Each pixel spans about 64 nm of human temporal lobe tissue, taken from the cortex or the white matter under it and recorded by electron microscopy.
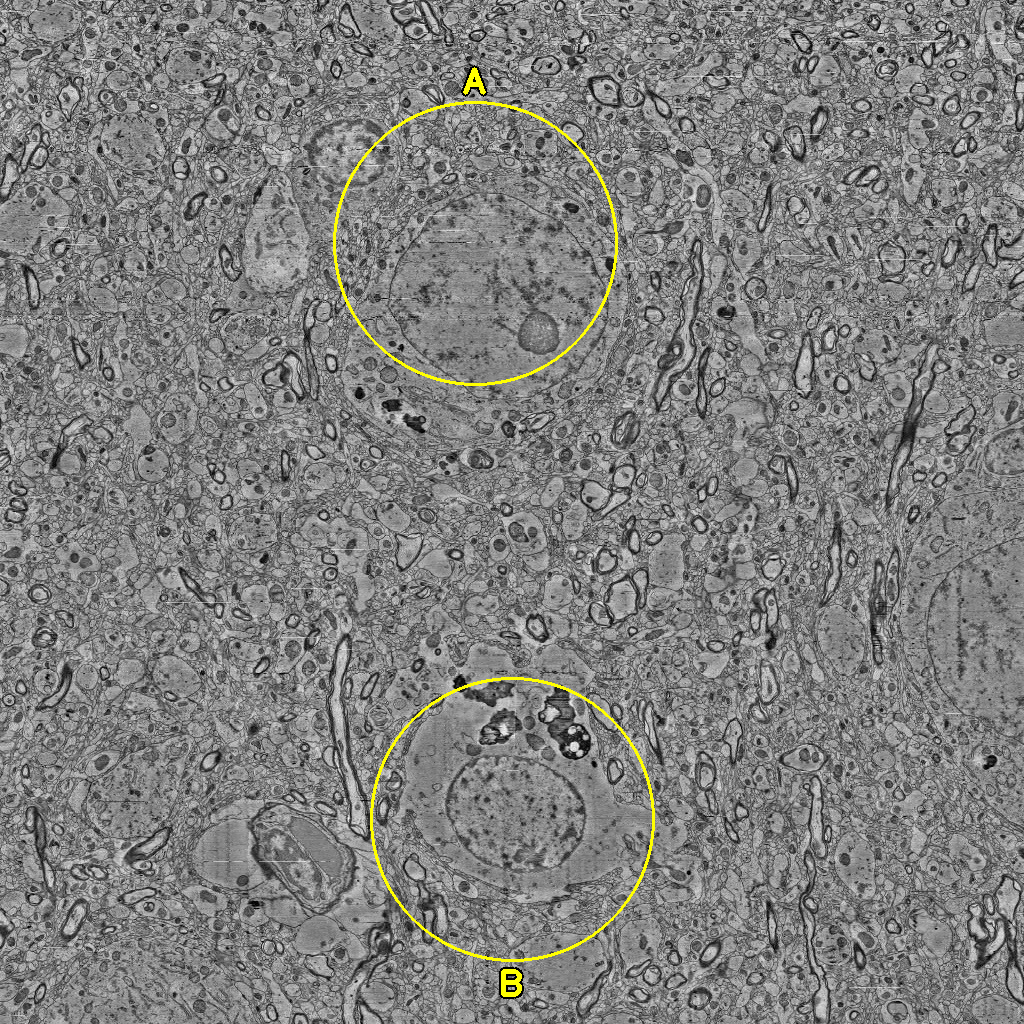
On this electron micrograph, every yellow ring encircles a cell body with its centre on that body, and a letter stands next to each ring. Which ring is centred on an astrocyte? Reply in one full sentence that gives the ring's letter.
Ring B is the ring that has the cell asked for in its centre.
